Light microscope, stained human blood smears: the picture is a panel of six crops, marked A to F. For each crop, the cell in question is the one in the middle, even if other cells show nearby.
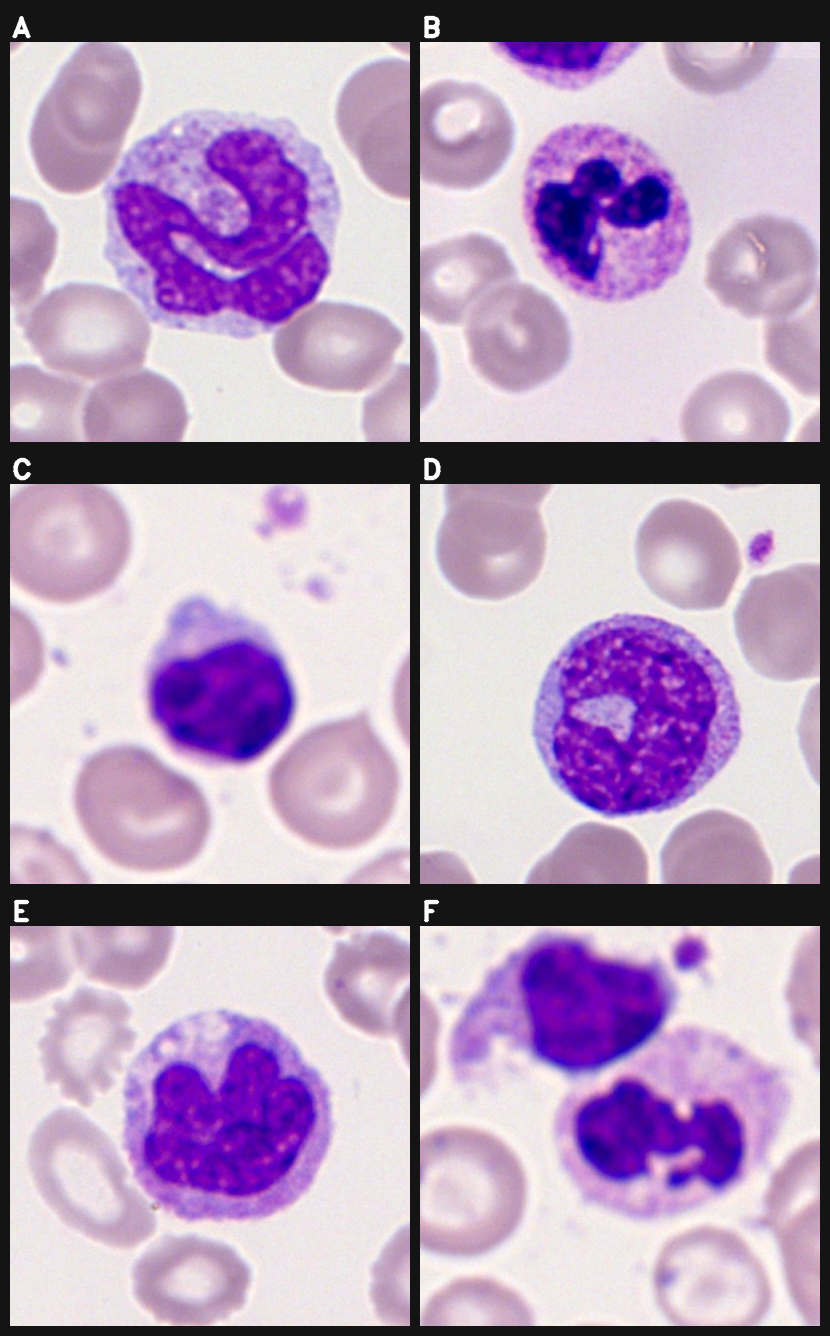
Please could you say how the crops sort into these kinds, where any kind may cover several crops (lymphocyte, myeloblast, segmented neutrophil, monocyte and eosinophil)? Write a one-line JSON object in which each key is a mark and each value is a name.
{"A": "monocyte", "B": "segmented neutrophil", "C": "lymphocyte", "D": "monocyte", "E": "monocyte", "F": "segmented neutrophil"}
